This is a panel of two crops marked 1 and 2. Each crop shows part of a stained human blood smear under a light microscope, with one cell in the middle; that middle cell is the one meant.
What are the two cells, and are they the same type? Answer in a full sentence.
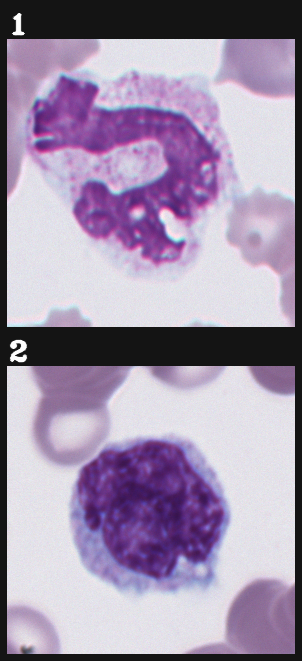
No, crop 1 captures a segmented neutrophil; meanwhile crop 2 captures a monocyte.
